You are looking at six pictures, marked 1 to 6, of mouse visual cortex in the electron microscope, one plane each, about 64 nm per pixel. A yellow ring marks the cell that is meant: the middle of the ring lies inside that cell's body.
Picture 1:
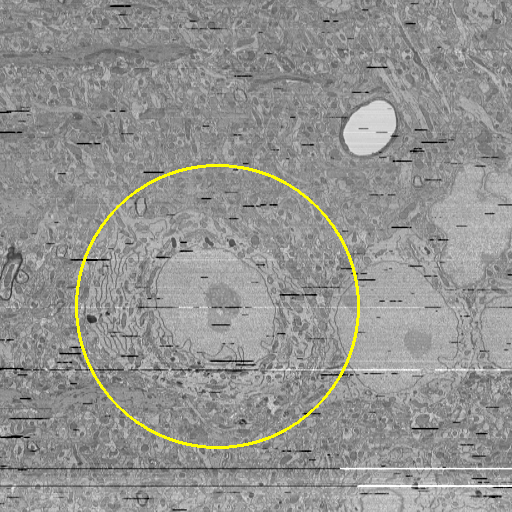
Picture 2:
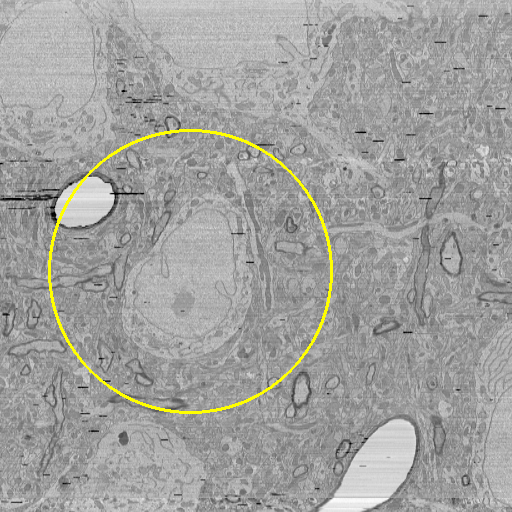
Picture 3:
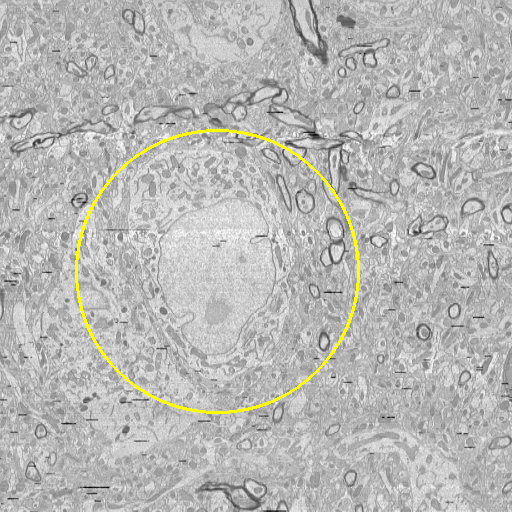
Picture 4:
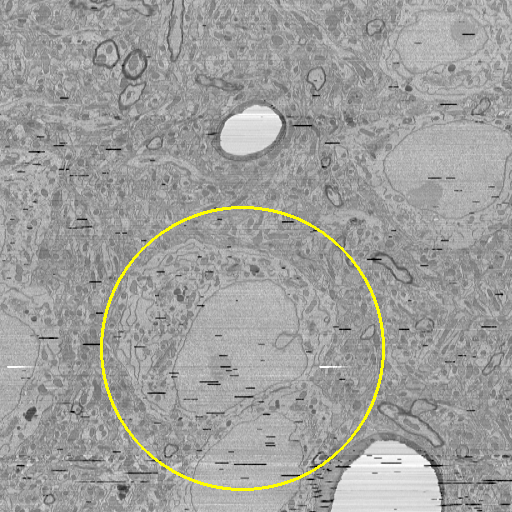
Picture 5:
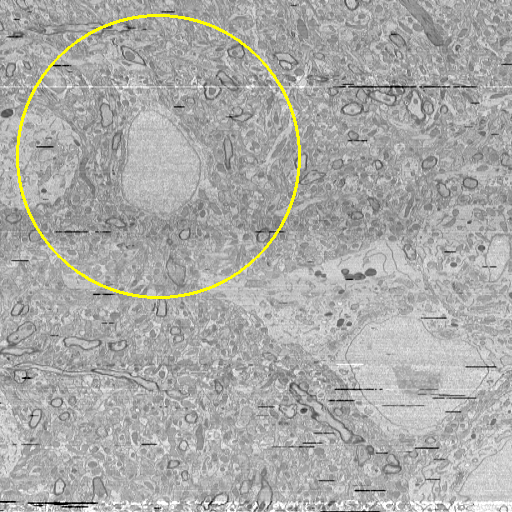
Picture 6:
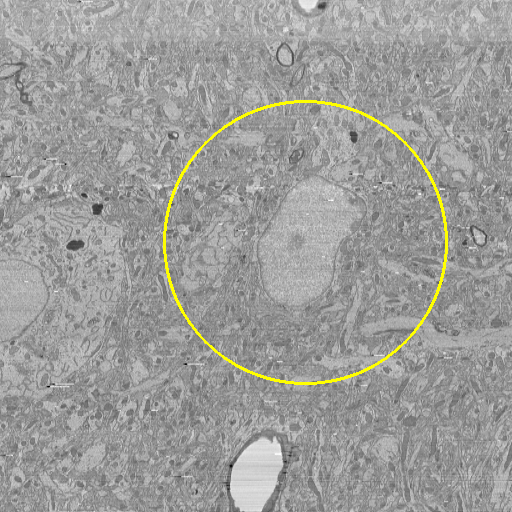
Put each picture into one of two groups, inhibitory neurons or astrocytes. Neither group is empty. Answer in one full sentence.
Pictures 1, 2, 3 and 4 show inhibitory neurons, and pictures 5 and 6 show astrocytes.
